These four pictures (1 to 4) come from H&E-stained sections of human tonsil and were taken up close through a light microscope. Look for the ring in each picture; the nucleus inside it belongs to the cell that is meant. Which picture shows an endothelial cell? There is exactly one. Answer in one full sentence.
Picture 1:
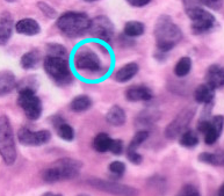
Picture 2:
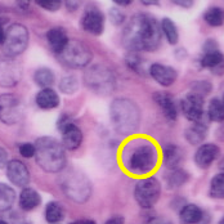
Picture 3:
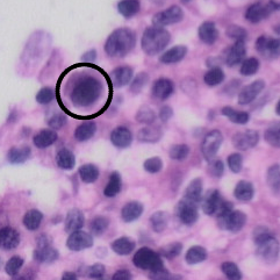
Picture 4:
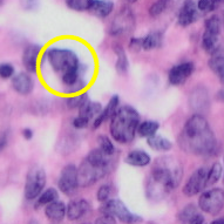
It is picture 2 that shows the endothelial cell.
